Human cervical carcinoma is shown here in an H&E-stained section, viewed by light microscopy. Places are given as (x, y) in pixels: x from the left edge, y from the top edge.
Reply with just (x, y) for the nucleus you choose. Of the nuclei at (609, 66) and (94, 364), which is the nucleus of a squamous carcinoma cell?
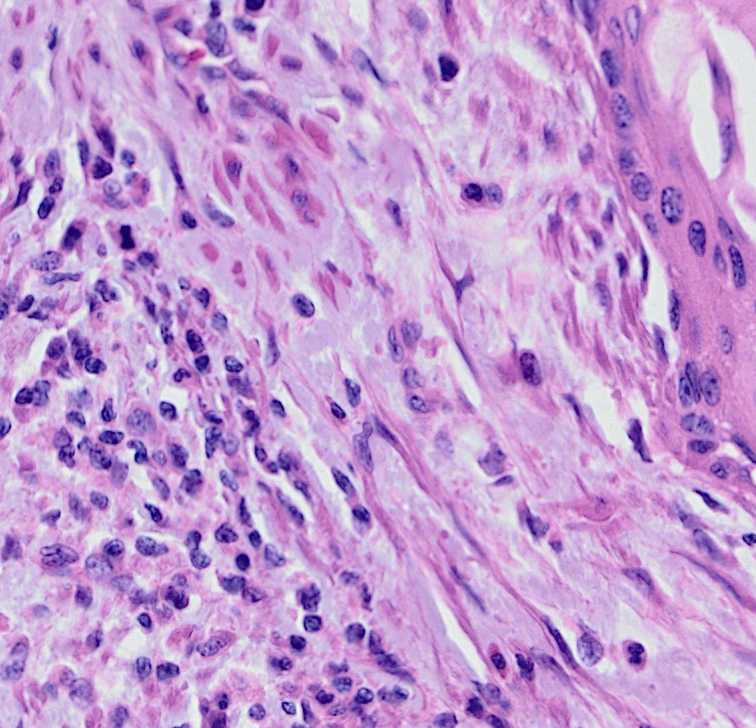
(609, 66)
